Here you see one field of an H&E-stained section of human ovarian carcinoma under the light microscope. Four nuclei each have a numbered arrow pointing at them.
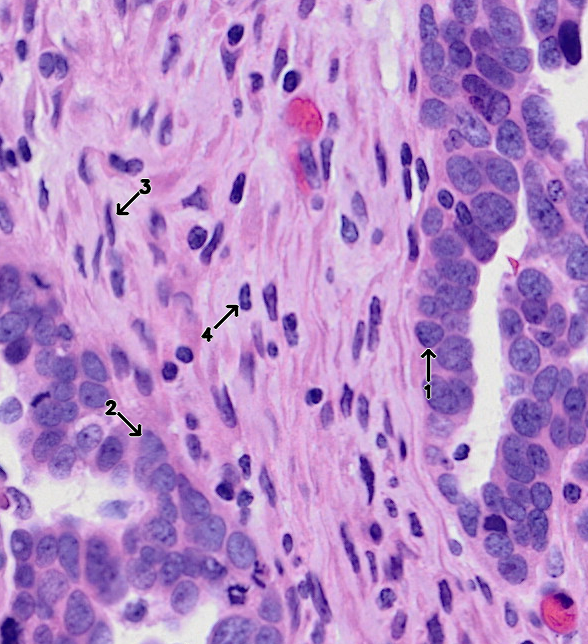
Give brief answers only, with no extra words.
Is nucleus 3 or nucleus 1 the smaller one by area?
3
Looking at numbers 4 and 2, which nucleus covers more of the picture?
2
